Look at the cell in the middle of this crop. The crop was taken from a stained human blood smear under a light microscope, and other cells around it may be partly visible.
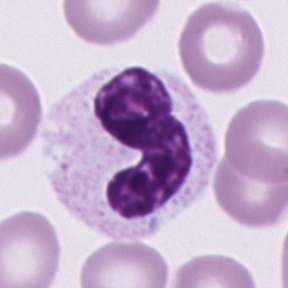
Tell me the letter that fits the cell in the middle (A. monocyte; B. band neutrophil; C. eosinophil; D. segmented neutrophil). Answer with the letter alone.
D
